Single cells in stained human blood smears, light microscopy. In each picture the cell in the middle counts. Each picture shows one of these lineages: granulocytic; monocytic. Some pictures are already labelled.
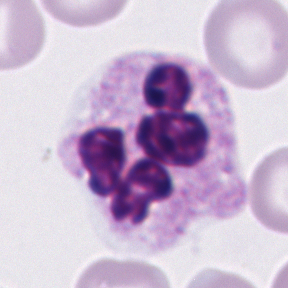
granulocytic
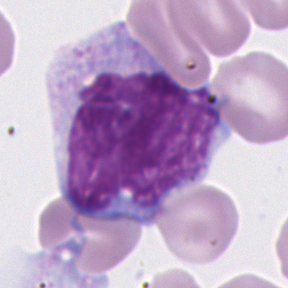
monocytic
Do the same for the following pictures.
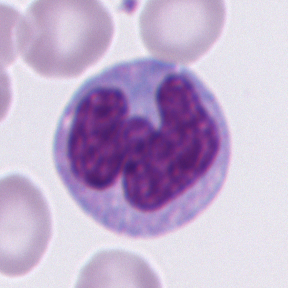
monocytic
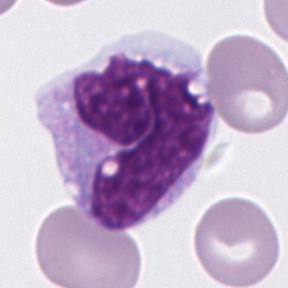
monocytic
